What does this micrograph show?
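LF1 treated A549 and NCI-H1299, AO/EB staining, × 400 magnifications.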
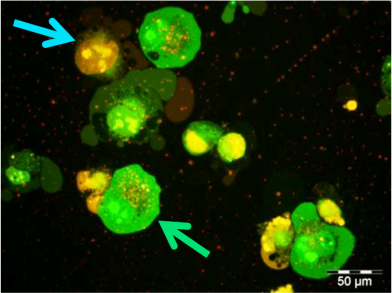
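Several large green cells have broad pale green margins around a central region that holds orange granular material. Other cells are rounded and stained orange to yellow, with clumped chromatin. Many small orange dots lie scattered across the dark background. The cells vary widely in size and outline.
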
